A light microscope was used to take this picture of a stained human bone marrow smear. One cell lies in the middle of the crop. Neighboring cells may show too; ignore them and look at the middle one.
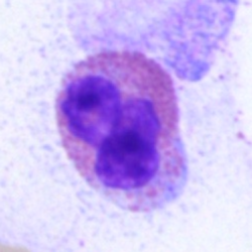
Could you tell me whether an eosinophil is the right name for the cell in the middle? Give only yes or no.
yes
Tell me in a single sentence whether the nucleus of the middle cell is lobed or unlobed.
If you check the nucleus, you will find it split into two or more lobes.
